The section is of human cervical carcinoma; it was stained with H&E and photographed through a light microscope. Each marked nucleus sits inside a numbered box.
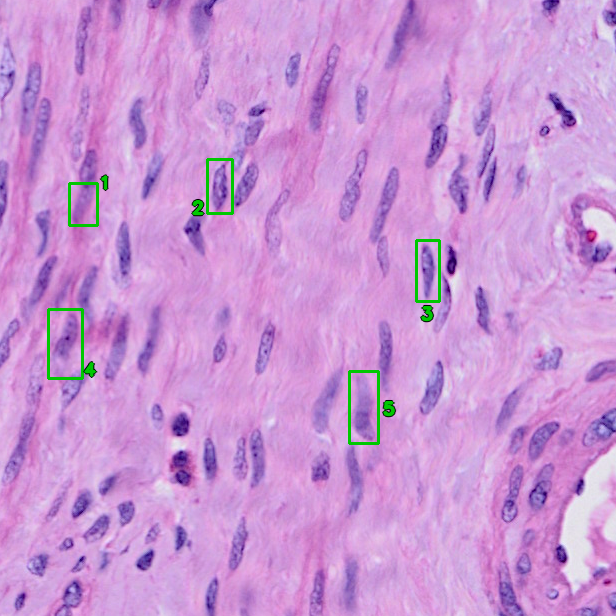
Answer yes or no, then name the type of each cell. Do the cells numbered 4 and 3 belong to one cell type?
No, cell 4 is a smooth muscle cell and cell 3 is a fibroblast.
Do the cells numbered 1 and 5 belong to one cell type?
No, cell 1 is a smooth muscle cell and cell 5 is a fibroblast.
